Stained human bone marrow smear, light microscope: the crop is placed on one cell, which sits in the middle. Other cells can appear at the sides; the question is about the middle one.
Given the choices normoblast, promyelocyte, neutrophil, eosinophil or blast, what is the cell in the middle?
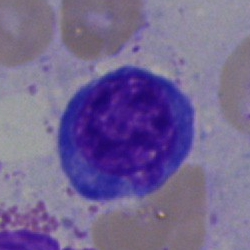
normoblast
